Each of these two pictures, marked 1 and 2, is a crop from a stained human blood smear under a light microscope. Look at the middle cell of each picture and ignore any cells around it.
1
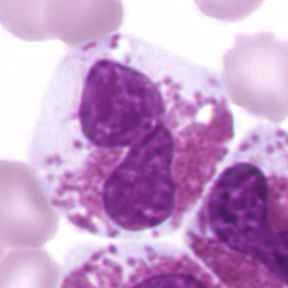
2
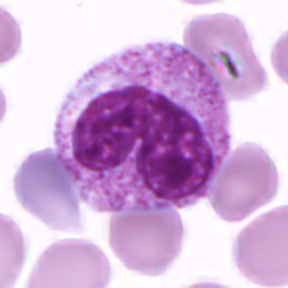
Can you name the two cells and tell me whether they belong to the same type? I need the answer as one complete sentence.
No, an eosinophil and a band neutrophil are found in crop 1 and crop 2, respectively.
